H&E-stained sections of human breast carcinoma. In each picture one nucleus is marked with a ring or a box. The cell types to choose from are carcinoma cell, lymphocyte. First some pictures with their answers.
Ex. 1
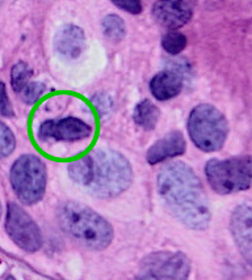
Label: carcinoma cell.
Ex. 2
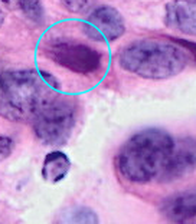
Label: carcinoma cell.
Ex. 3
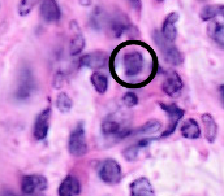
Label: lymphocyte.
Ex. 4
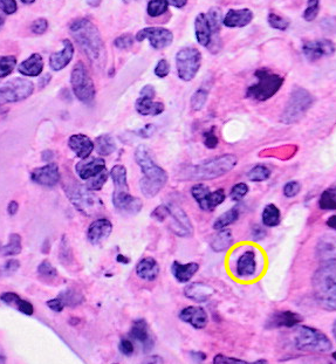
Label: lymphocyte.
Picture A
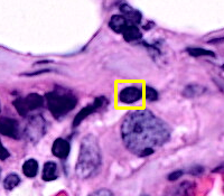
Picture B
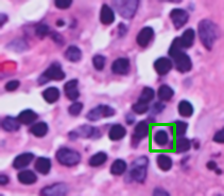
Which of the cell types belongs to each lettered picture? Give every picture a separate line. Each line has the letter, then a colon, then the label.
A: lymphocyte.
B: lymphocyte.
